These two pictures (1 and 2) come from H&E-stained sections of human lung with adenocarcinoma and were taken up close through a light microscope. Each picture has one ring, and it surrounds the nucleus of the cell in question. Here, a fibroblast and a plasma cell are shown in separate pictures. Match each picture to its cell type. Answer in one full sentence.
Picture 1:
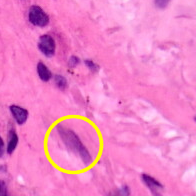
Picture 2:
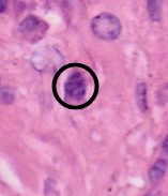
Picture 1 is of a fibroblast, and picture 2 is of a plasma cell.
